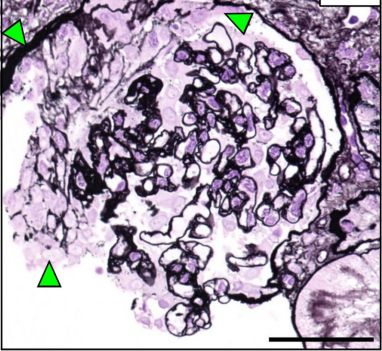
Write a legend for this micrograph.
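This is a kidney glomerulus in which the space around the capillary tuft is filled by a cellular crescent. Around part of the tuft, the space normally left open inside the capsule is packed with layers of pale, plump cells with round nuclei, forming a crescent-shaped cap. In places the black membranes of the tuft and capsule look frayed and interrupted next to this cellular layer. Outside the capsule the surrounding tissue shows dense dark fibrillar material.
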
